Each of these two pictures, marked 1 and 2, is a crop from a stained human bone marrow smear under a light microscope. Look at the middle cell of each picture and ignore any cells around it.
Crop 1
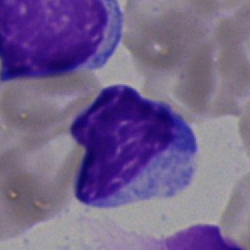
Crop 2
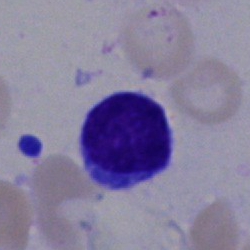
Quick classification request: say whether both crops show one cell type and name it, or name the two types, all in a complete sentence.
Yes, both crops show lymphocytes in their central position.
